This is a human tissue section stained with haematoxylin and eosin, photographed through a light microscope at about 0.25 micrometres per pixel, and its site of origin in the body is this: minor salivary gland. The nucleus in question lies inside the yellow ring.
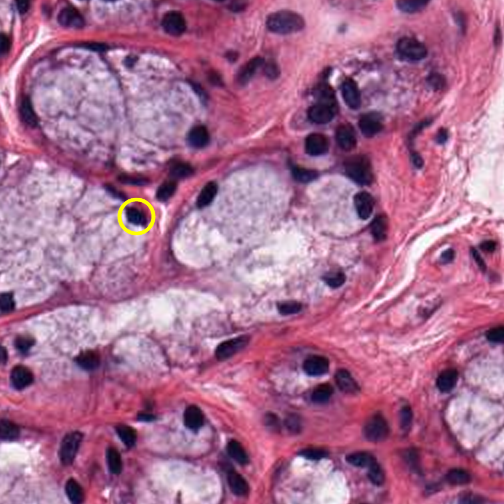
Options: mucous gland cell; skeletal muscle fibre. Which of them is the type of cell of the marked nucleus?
mucous gland cell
